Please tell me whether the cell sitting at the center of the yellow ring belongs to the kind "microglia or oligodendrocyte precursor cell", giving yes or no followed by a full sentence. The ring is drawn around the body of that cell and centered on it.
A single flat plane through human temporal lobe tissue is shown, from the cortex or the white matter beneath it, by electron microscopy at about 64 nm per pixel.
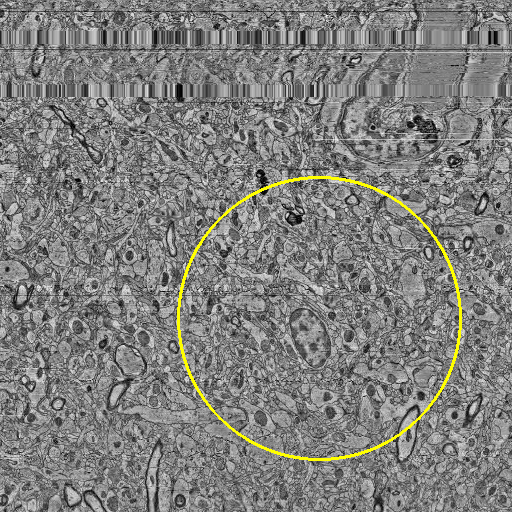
Yes, the cell at the center of the ring in the picture is of that kind.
